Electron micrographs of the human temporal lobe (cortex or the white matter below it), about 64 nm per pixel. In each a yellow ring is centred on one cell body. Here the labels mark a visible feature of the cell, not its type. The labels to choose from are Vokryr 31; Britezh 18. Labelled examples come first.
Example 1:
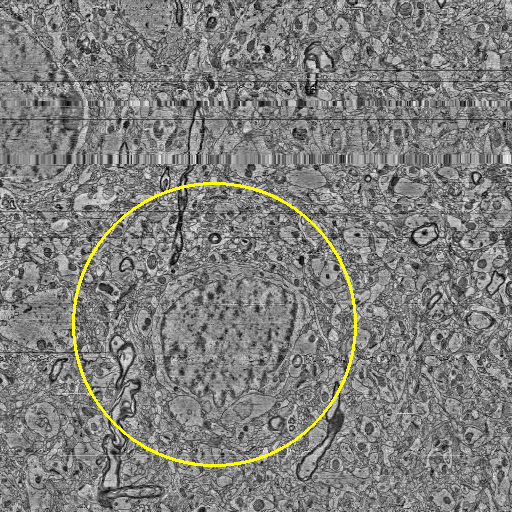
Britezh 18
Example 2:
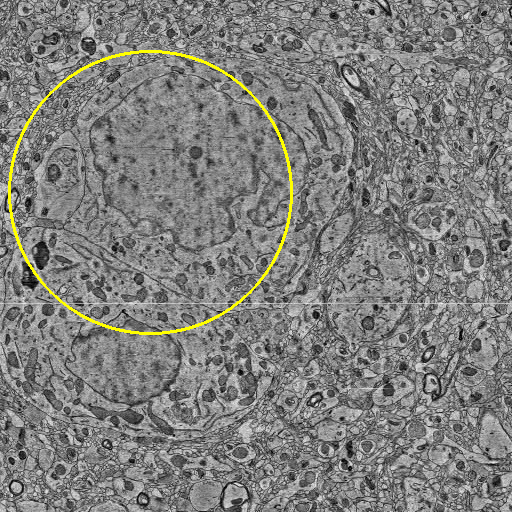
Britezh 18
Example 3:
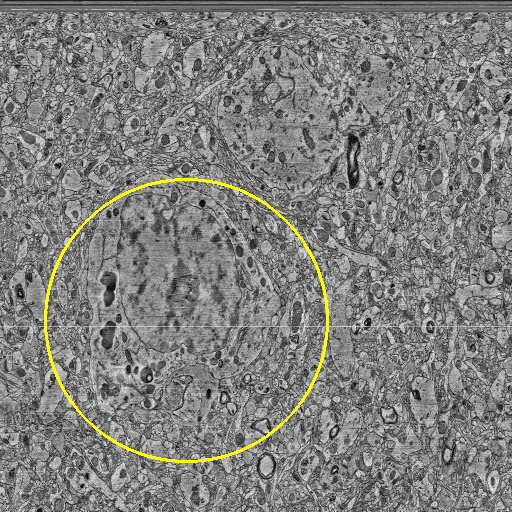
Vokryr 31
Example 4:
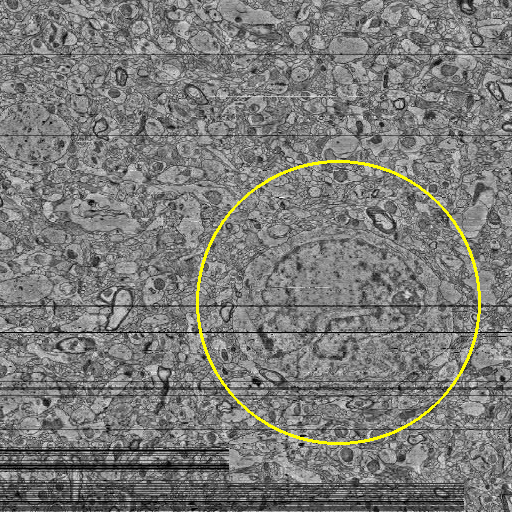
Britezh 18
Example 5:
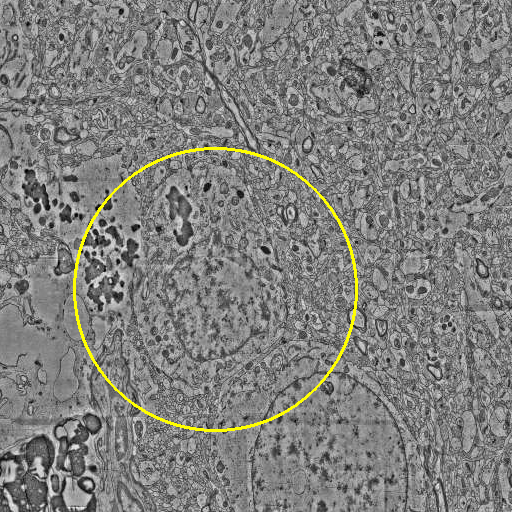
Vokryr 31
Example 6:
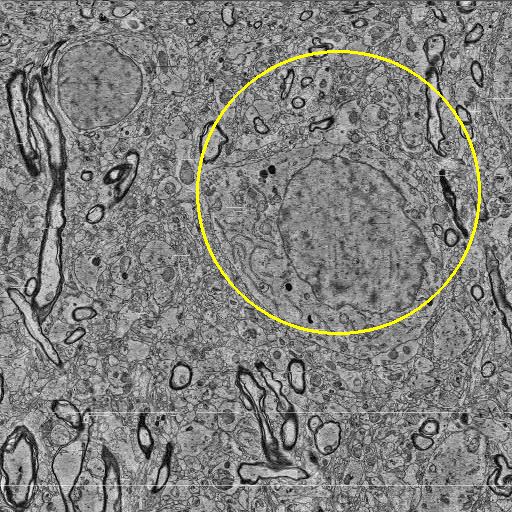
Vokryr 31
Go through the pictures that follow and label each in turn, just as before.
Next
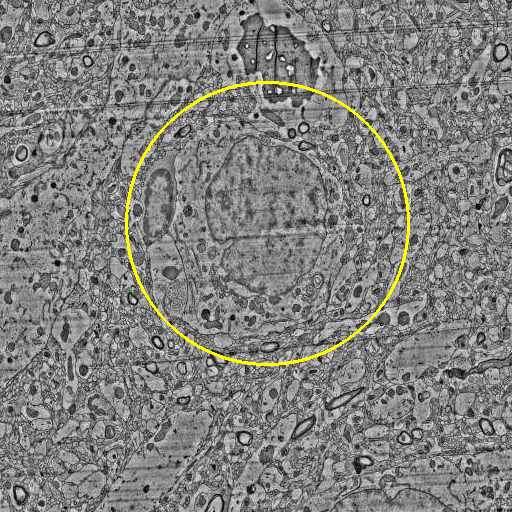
Vokryr 31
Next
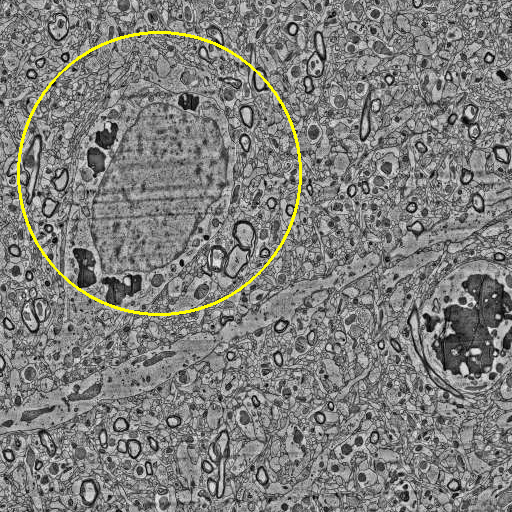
Vokryr 31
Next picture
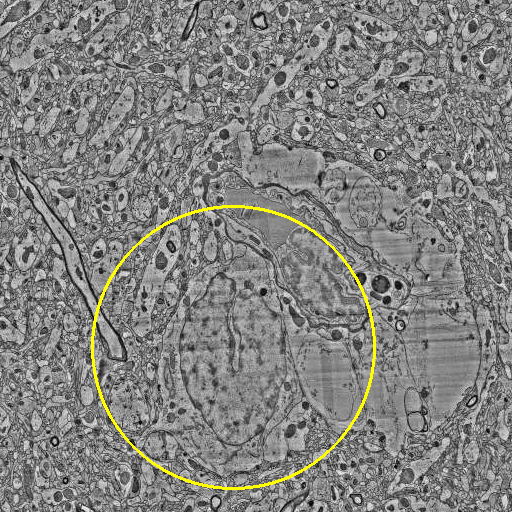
Britezh 18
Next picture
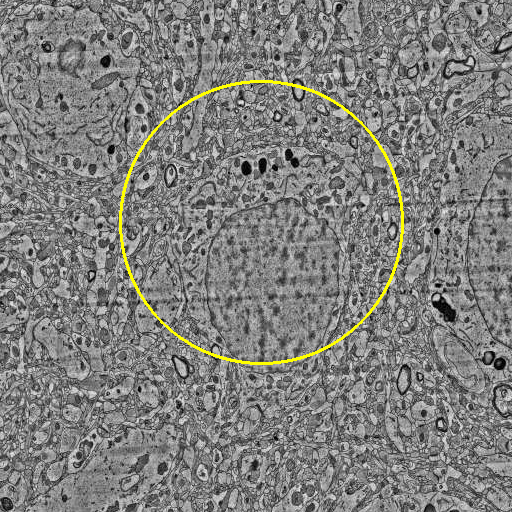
Vokryr 31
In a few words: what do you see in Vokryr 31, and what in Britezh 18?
Vokryr 31, smooth nuclear envelopes without deep folds; Britezh 18, deeply folded or indented nuclear envelopes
